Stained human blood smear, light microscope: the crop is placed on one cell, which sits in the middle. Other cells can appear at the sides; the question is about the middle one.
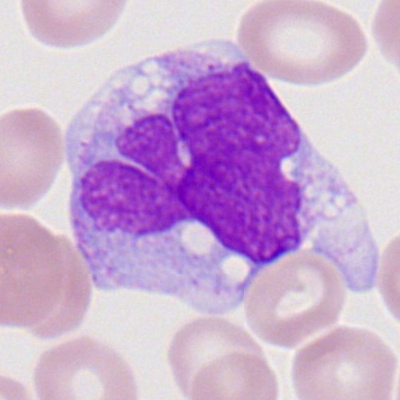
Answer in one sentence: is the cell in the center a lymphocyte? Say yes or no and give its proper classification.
No, instead of a lymphocyte, the centred cell represents a monocyte.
